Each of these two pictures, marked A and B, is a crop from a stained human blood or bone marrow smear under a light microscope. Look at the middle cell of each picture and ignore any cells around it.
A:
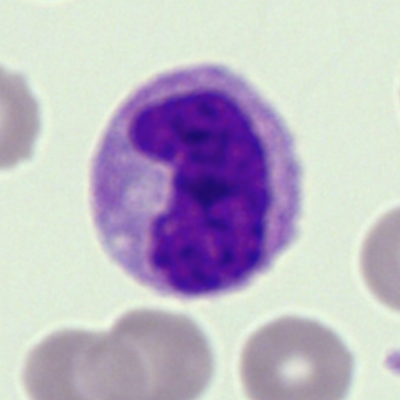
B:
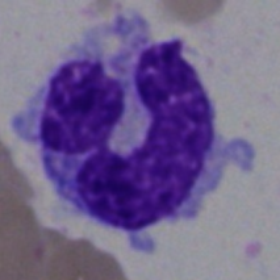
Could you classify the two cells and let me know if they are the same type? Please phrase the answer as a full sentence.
Yes, in the case of both crops, the central cells are monocytes.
